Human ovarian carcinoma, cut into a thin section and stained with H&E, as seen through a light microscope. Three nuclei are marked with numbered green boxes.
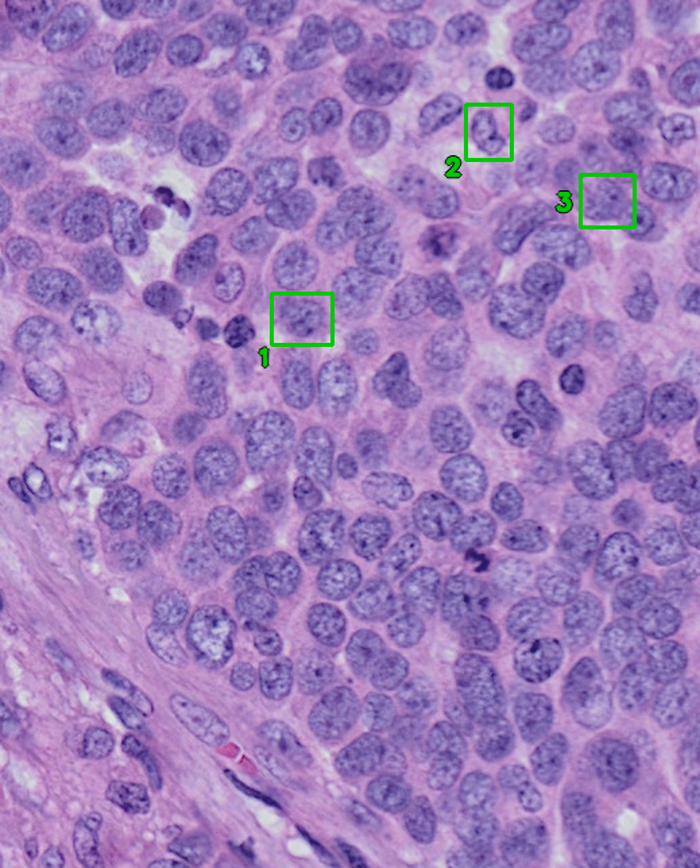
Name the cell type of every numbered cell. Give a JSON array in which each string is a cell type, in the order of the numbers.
["carcinoma cell", "macrophage or monocyte", "carcinoma cell"]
